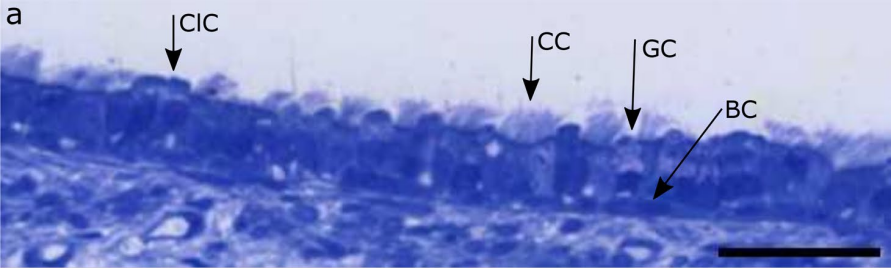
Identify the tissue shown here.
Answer: airway epithelium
